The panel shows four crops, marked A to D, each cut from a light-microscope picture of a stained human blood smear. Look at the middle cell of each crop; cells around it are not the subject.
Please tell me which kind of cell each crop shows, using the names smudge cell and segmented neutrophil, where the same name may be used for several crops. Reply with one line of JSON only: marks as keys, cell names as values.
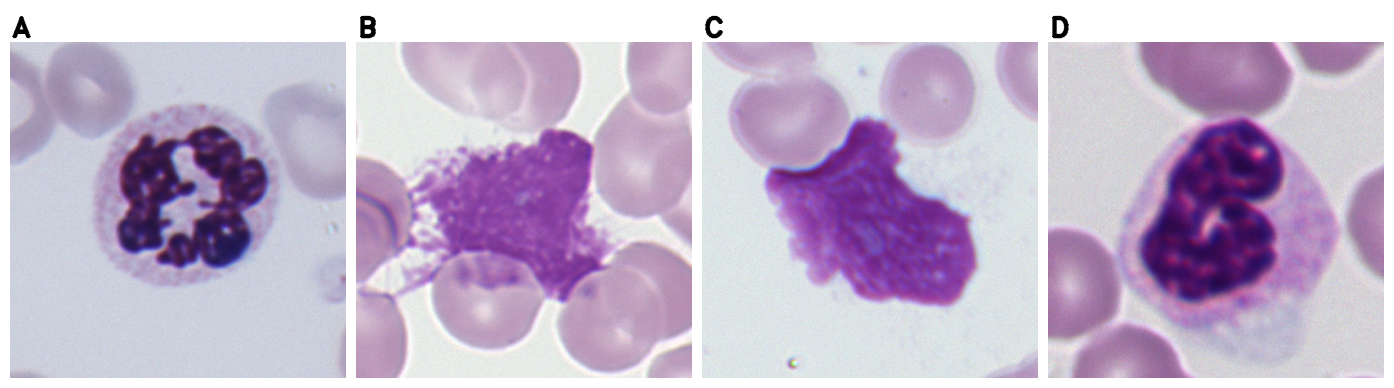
{"A": "segmented neutrophil", "B": "smudge cell", "C": "smudge cell", "D": "segmented neutrophil"}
